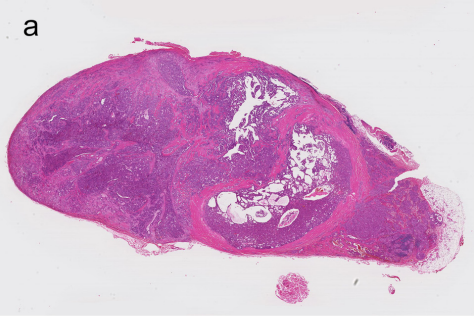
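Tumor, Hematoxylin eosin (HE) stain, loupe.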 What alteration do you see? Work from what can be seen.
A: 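A nodular lesion bounded by a pink fibrous rim. Central cystic spaces containing papillary fronds. That points to this answer: Papillary-cystic proliferation.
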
